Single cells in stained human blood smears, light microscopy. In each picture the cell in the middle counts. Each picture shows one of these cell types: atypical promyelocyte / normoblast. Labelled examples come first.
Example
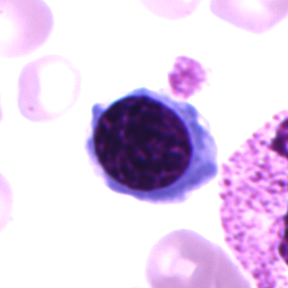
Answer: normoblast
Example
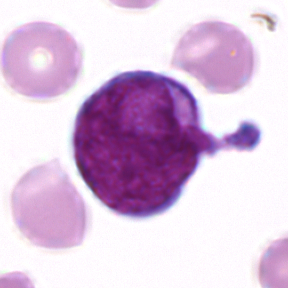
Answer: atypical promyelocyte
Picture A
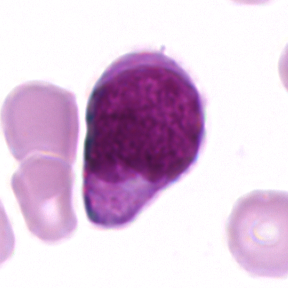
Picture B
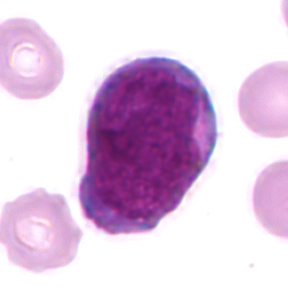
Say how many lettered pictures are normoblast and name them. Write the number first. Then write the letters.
0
